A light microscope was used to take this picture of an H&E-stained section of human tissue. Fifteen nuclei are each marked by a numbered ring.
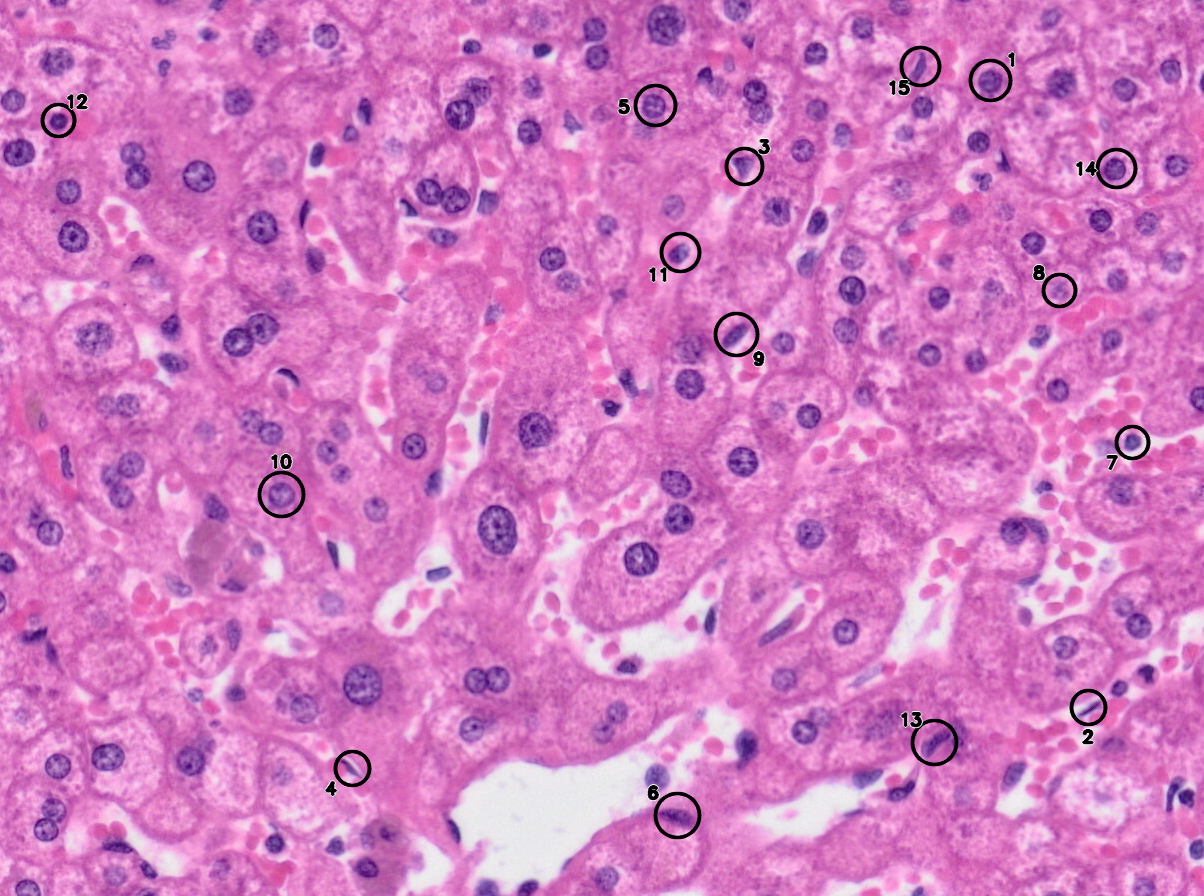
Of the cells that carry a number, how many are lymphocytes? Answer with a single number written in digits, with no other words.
3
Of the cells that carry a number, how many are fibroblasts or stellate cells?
4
